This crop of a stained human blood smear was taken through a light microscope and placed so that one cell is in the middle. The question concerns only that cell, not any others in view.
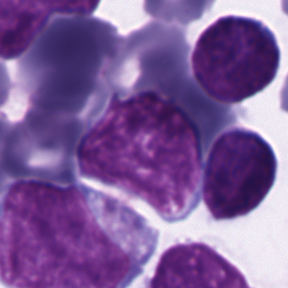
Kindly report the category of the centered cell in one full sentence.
Here the centrally located cell is a blast.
